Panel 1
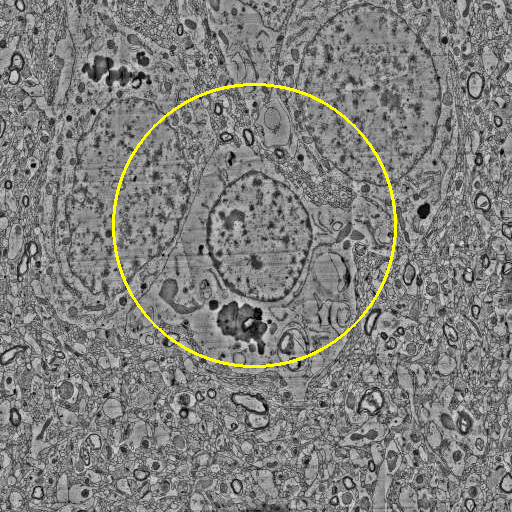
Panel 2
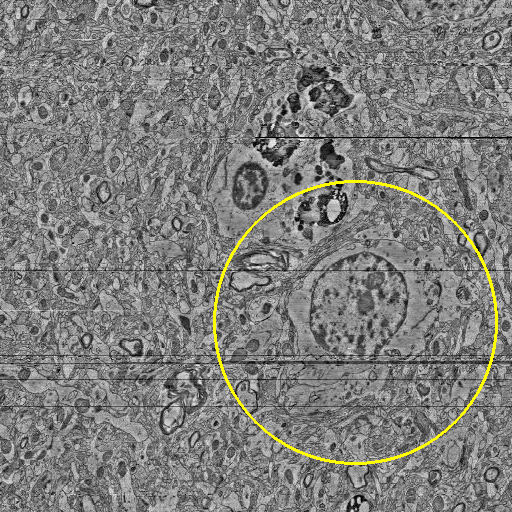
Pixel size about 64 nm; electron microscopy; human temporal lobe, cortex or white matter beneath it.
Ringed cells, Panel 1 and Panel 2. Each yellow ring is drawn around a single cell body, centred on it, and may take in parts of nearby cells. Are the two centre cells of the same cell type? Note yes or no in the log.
yes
